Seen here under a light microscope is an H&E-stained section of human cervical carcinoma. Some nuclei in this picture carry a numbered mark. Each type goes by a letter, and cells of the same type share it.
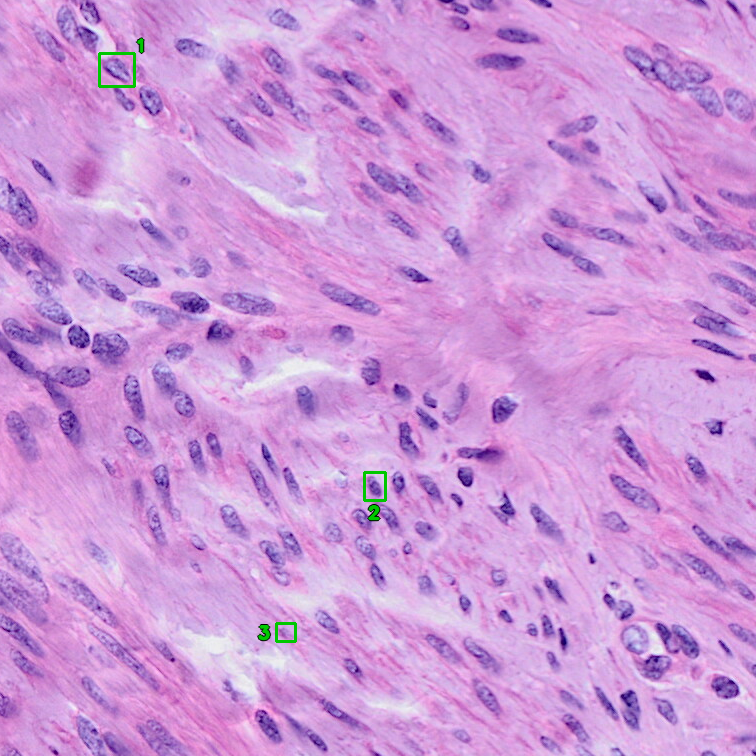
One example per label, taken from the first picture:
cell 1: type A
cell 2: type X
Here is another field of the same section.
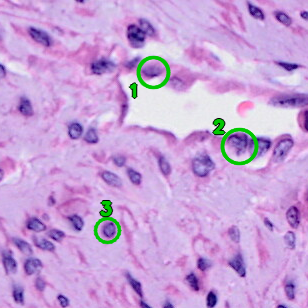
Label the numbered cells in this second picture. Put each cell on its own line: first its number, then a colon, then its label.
1: type A
2: type A
3: type X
